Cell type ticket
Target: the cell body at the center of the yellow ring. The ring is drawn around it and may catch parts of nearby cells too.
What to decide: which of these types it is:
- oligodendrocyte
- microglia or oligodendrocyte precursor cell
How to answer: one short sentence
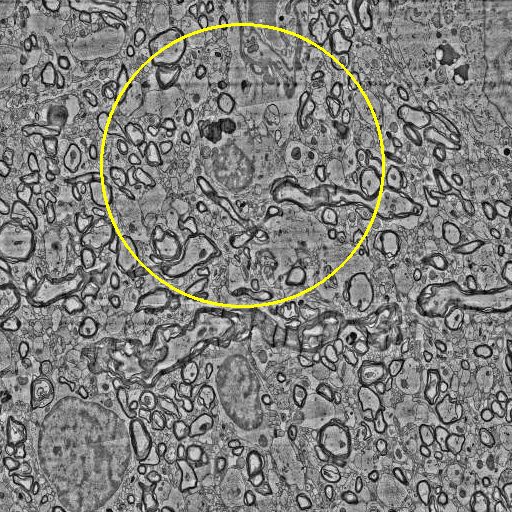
The cell at the center of the ring is an oligodendrocyte.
